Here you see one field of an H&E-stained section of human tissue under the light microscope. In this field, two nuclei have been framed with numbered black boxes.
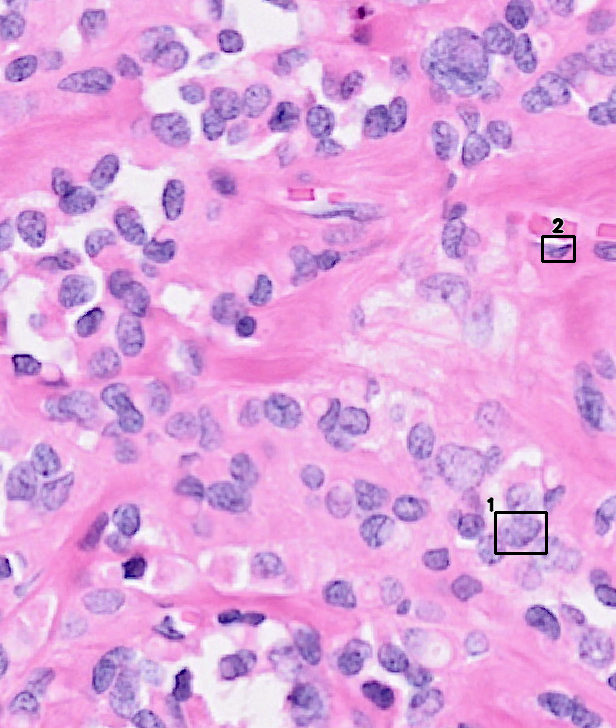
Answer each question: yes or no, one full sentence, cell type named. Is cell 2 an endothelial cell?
Yes, the cell corresponding to number 2 is an endothelial cell.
